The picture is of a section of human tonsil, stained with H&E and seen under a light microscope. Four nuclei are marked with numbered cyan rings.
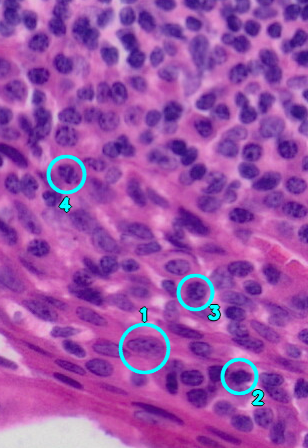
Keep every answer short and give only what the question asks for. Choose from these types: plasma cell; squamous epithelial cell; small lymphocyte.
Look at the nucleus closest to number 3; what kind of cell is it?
squamous epithelial cell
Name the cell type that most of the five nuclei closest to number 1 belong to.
squamous epithelial cell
